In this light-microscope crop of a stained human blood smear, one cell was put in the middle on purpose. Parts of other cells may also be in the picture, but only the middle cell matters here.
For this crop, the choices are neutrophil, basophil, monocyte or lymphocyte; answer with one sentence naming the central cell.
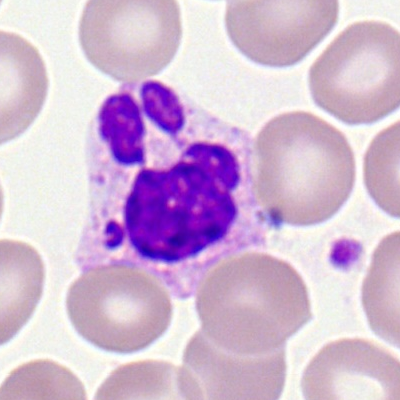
Classification of the middle cell gives a basophil.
